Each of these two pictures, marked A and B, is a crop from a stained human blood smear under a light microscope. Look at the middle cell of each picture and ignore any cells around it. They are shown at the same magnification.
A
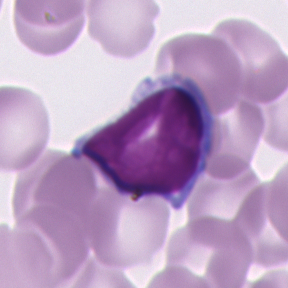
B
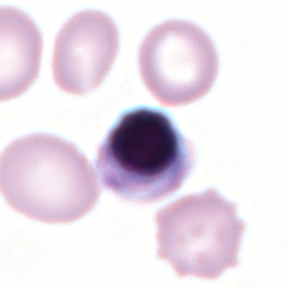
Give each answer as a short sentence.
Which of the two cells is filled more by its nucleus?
It is the cell in crop A that is filled more by its nucleus.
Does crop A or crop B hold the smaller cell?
Crop B holds the smaller cell, since the cell in crop A covers about 2 times as much area.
